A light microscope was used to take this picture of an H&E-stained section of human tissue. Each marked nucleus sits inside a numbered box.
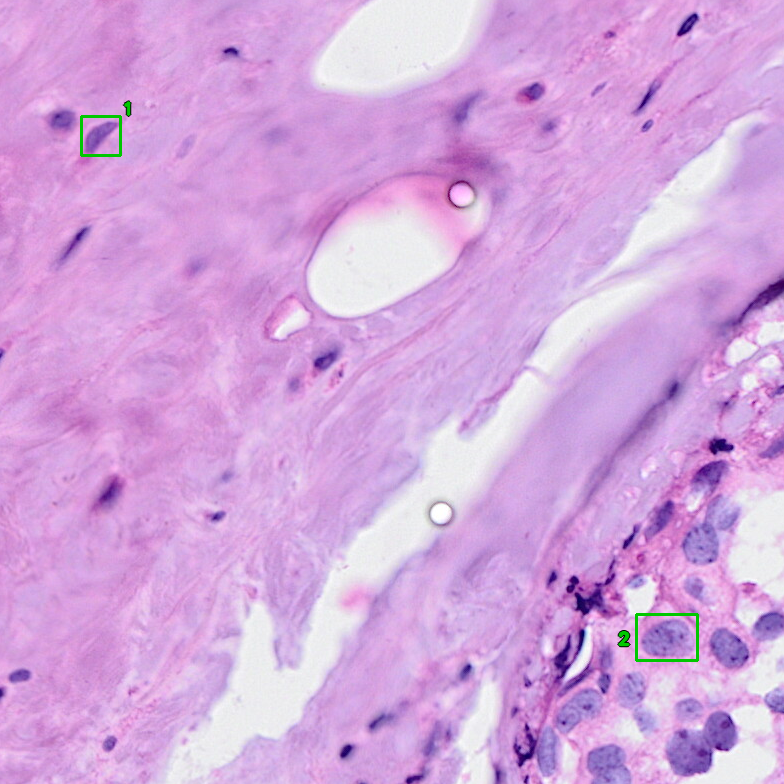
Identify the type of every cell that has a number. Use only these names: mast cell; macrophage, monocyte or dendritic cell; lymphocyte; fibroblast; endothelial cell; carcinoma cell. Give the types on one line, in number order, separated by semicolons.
fibroblast; carcinoma cell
